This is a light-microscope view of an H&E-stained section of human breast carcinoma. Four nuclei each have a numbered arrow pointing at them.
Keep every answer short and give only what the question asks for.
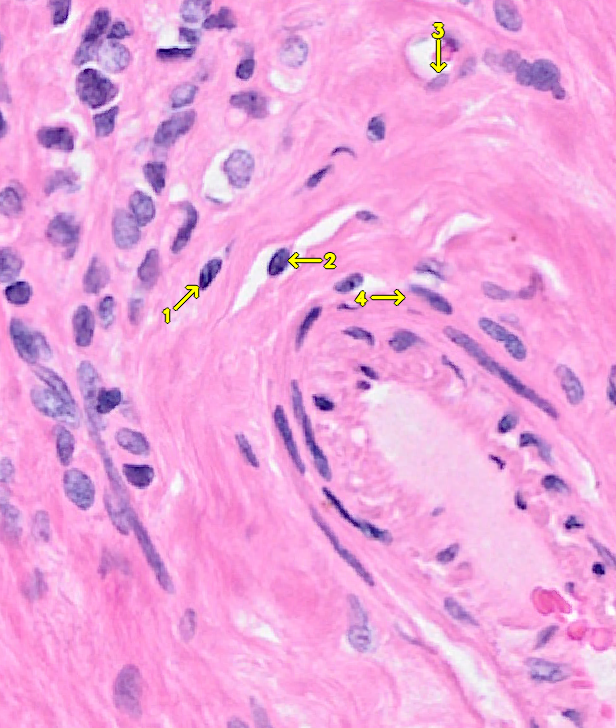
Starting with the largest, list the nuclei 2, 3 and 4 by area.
4, 2, 3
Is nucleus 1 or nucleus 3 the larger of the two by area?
1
